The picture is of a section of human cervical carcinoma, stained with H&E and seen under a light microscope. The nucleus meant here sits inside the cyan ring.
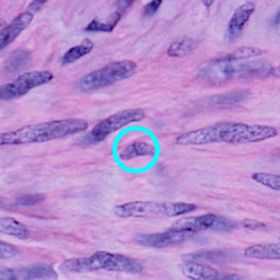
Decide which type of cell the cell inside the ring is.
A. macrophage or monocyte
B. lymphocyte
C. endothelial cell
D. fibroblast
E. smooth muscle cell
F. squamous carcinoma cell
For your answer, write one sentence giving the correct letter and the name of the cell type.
The correct choice is option E; the cell inside the ring is a smooth muscle cell.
